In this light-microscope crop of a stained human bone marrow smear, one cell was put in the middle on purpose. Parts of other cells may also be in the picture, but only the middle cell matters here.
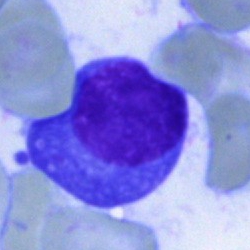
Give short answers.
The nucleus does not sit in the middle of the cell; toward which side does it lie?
upper right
